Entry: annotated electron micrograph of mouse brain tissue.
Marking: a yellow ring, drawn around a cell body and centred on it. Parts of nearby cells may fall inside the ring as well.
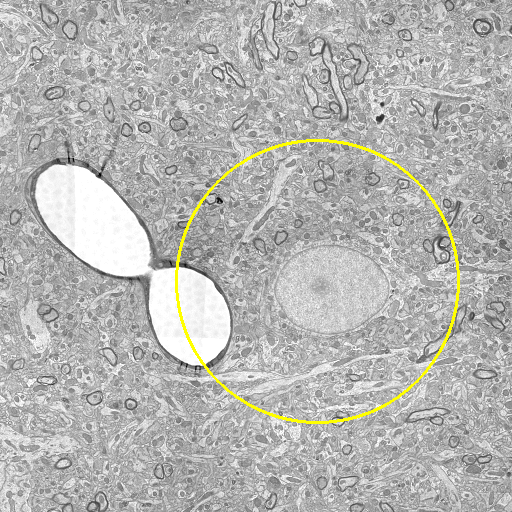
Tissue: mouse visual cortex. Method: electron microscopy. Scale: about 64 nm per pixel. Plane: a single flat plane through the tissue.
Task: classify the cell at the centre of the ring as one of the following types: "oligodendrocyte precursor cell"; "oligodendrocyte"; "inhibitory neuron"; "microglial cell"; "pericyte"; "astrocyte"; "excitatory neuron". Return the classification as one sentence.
The marked cell is classified as an astrocyte.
